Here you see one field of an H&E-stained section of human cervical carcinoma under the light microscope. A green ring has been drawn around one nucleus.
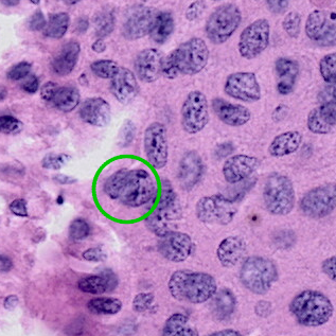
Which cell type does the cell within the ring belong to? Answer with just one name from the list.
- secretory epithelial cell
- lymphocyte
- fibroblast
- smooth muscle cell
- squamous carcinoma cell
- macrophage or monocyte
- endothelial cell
squamous carcinoma cell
